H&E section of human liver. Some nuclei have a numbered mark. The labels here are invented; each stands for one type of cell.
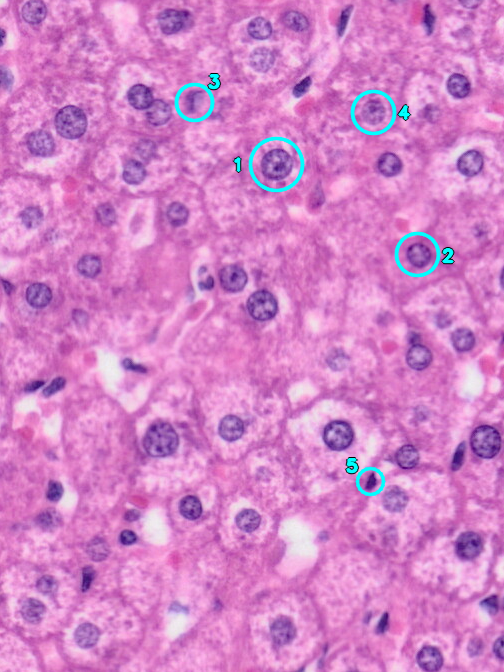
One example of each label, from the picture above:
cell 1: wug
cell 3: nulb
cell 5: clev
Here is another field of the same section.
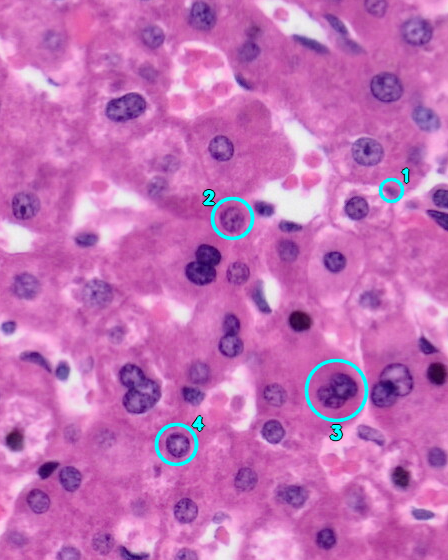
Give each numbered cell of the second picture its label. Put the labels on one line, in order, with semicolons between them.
clev; wug; wug; wug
